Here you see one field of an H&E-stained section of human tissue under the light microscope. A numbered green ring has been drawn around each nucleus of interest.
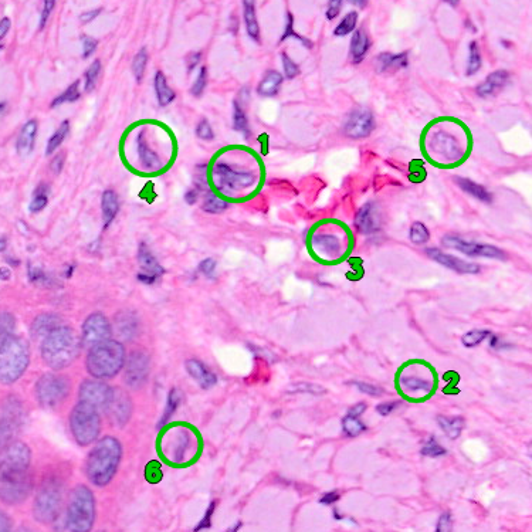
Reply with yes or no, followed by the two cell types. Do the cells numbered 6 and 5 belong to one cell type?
Yes, cells 6 and 5 both belong to the category of fibroblasts.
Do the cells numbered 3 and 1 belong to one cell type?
Yes, in short, cells 3 and 1 are both endothelial cells.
